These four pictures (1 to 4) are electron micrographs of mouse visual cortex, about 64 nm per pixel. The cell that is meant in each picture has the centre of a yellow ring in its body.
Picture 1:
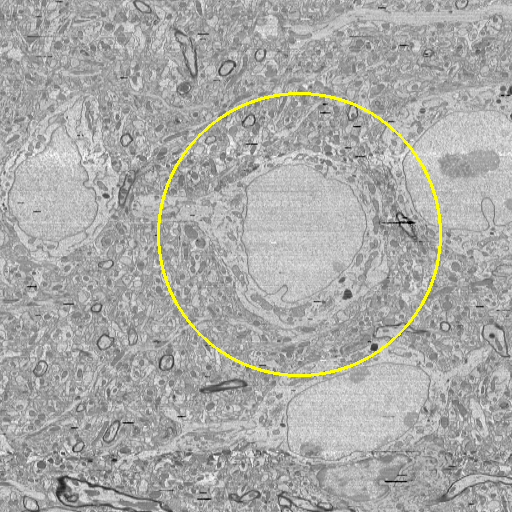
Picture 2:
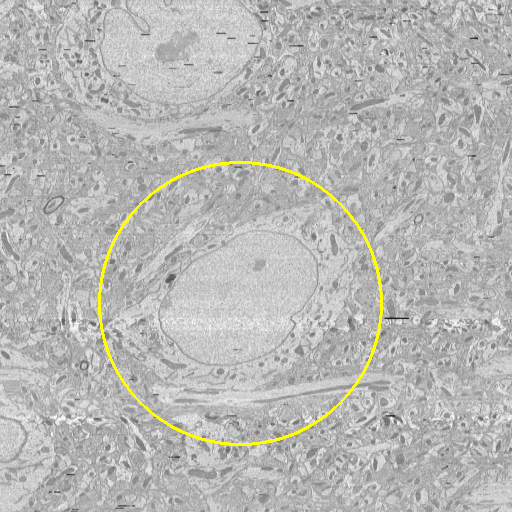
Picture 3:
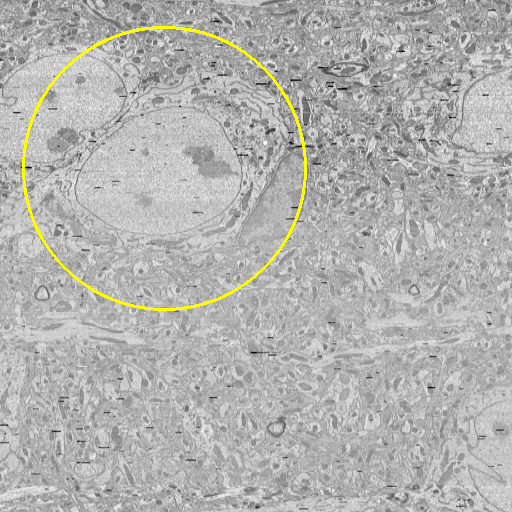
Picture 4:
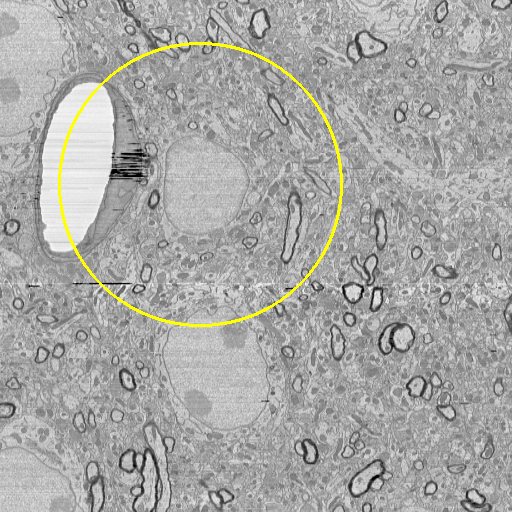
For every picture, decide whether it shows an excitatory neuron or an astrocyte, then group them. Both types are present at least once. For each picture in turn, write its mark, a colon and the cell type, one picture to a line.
1: excitatory neuron
2: excitatory neuron
3: excitatory neuron
4: astrocyte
